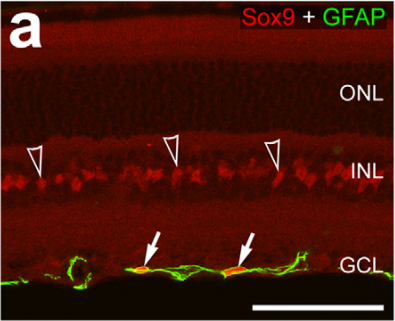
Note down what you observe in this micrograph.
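This is a section of retina with its nuclear layers, where red nuclei of Müller glia form a single row in the middle of the inner nuclear layer. At the inner surface, flattened, elongated red nuclei of astrocytes lie wrapped in green fibrous processes that run along the edge of the retina. The outer nuclear layer above carries no such red nuclei.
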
